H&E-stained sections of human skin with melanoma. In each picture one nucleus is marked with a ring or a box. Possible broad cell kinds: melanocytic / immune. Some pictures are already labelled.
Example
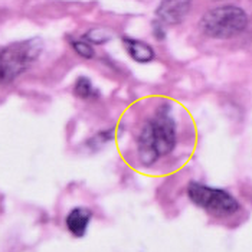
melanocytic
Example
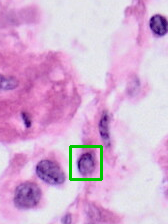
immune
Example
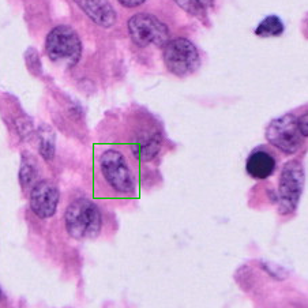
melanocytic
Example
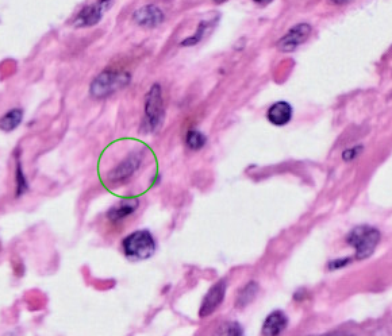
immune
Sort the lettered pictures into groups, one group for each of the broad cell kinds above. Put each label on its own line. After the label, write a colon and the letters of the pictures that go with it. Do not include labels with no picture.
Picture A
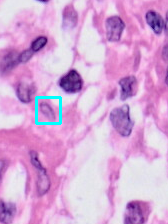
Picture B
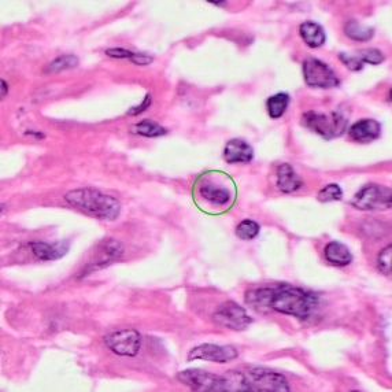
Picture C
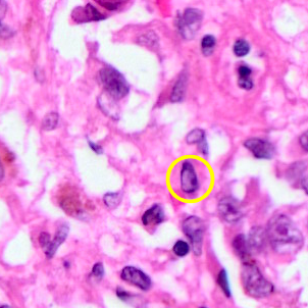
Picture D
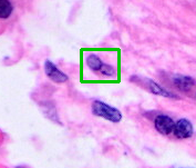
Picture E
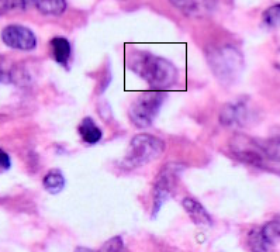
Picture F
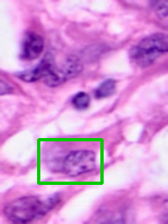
melanocytic: E, F
immune: A, B, C, D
